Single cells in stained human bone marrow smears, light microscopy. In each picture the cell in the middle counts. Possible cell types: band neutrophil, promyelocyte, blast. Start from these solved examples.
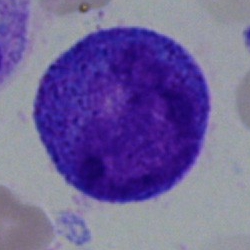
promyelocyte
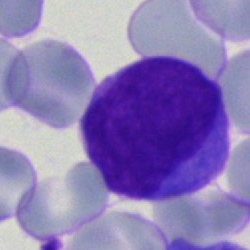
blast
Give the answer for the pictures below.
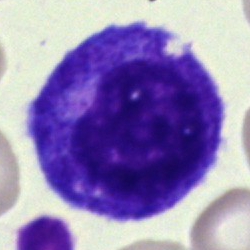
promyelocyte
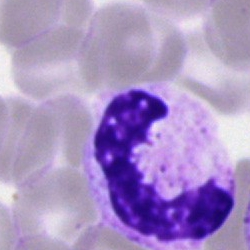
band neutrophil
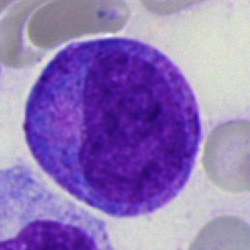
promyelocyte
